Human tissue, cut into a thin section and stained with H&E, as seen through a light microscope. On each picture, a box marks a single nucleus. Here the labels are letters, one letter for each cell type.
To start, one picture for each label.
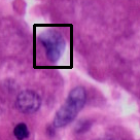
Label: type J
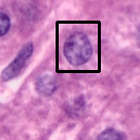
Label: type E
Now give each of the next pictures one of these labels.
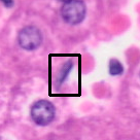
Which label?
type J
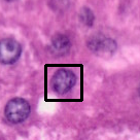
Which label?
type E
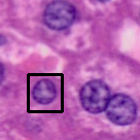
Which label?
type E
